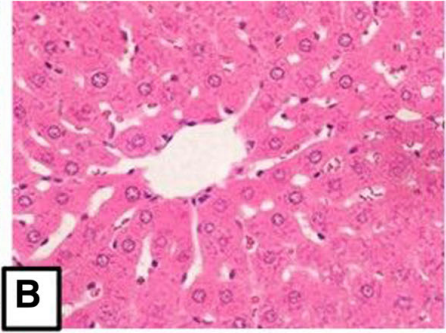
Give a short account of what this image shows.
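This is liver tissue centred on a central vein, the open clear space in the middle. Plates of hepatocytes, one to two cells thick, radiate outward from the vein like spokes of a wheel. Each hepatocyte is polygonal with evenly pink cytoplasm and a round, centrally placed nucleus with a distinct nucleolus; some cells appear to have two nuclei.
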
